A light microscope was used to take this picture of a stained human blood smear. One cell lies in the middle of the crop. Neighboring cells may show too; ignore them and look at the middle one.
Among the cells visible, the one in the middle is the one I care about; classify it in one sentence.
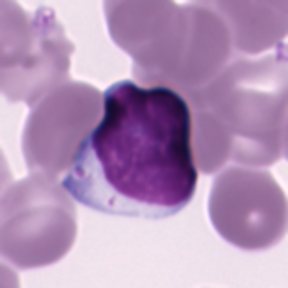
The cell centred in this crop is categorized as a large granular lymphocyte.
